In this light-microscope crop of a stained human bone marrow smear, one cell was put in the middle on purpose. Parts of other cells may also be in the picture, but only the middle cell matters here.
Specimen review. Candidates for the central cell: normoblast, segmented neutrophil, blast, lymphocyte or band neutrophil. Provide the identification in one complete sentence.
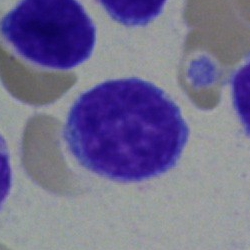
In this crop, the cell at the very middle is a lymphocyte.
